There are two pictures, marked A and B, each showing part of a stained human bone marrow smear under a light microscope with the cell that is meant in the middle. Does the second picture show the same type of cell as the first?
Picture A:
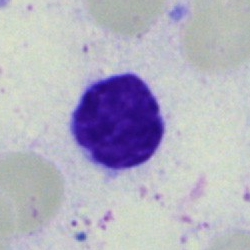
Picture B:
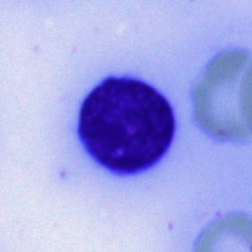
yes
